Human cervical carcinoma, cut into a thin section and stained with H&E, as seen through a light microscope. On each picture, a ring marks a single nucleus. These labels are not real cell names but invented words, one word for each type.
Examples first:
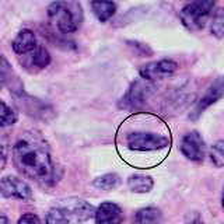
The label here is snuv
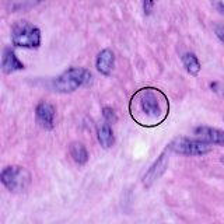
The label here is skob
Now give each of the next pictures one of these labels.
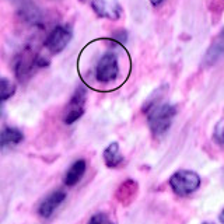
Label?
snuv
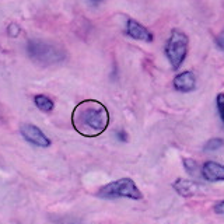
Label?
skob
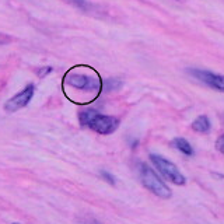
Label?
skob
